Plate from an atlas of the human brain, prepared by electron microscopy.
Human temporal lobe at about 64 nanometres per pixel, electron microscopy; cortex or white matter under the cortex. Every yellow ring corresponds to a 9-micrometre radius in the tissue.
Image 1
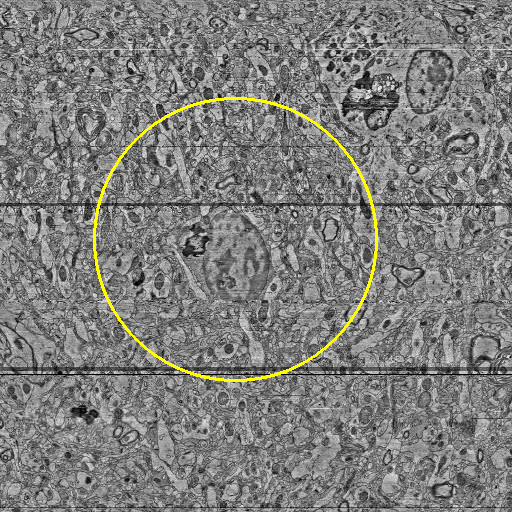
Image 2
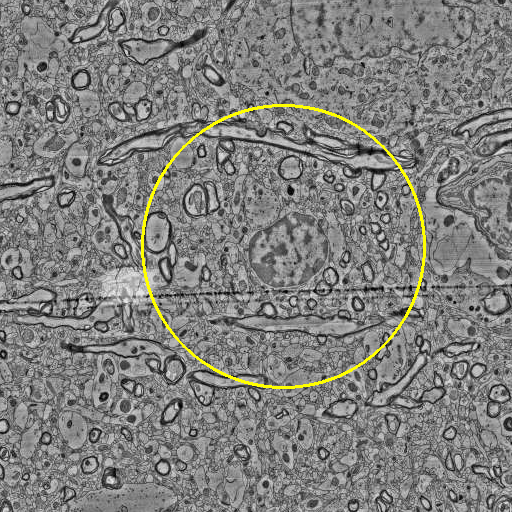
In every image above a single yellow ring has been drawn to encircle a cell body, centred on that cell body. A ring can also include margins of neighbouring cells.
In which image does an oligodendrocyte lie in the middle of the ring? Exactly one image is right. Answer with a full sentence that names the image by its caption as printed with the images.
Image 1 holds the requested cell at the very centre of its ring.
